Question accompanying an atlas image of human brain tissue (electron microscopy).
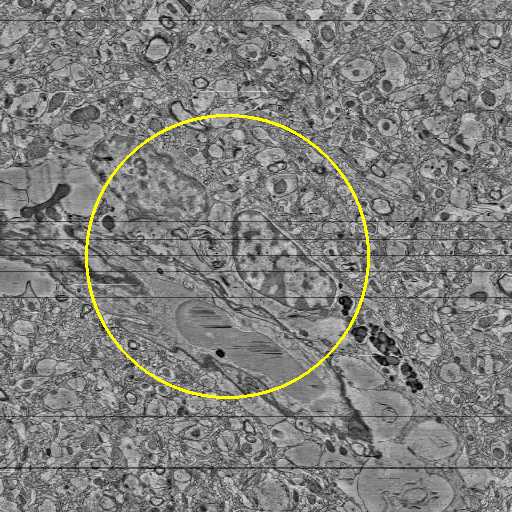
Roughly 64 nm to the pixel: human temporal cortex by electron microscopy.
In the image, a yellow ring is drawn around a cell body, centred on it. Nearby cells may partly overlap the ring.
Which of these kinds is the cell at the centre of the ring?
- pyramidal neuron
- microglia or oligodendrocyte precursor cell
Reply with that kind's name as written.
microglia or oligodendrocyte precursor cell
